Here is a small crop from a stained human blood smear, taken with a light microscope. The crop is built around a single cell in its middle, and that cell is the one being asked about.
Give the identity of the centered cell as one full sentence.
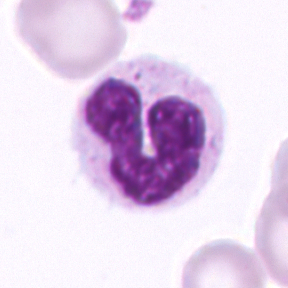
This crop has a band neutrophil at its centre.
